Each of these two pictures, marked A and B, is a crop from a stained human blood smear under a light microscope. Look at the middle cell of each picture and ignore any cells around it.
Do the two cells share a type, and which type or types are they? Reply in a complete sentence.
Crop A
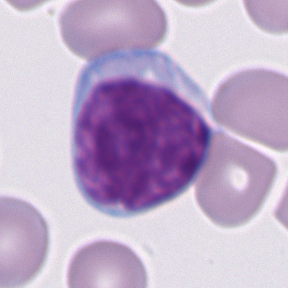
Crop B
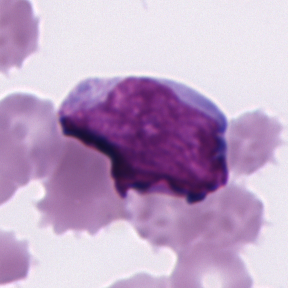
Yes, in the two crops, blasts are the cells at the centre.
